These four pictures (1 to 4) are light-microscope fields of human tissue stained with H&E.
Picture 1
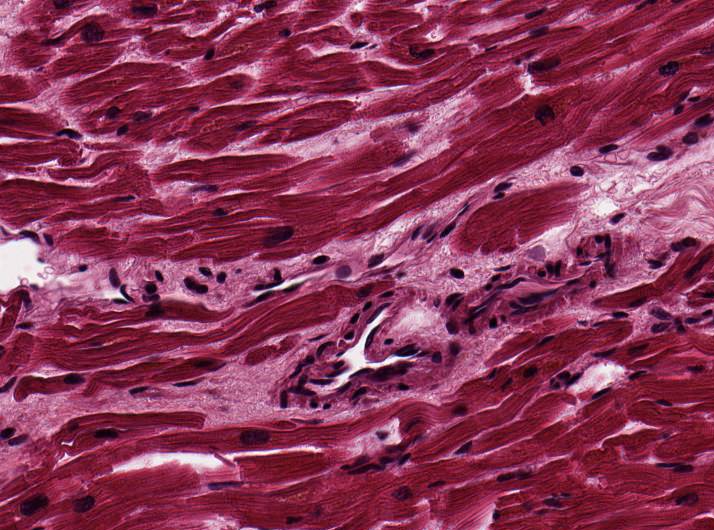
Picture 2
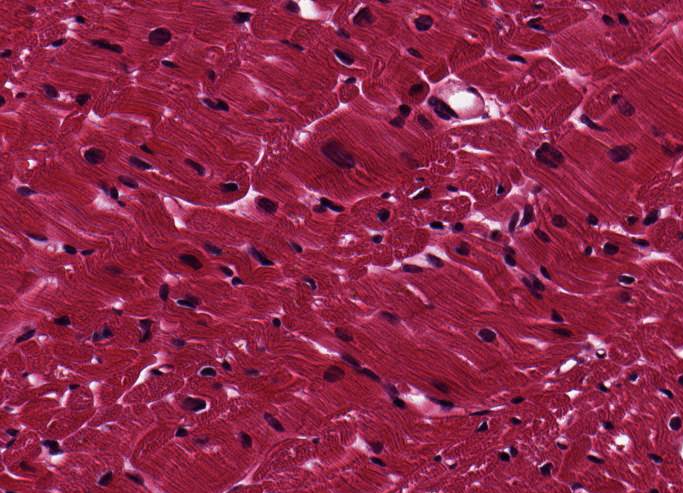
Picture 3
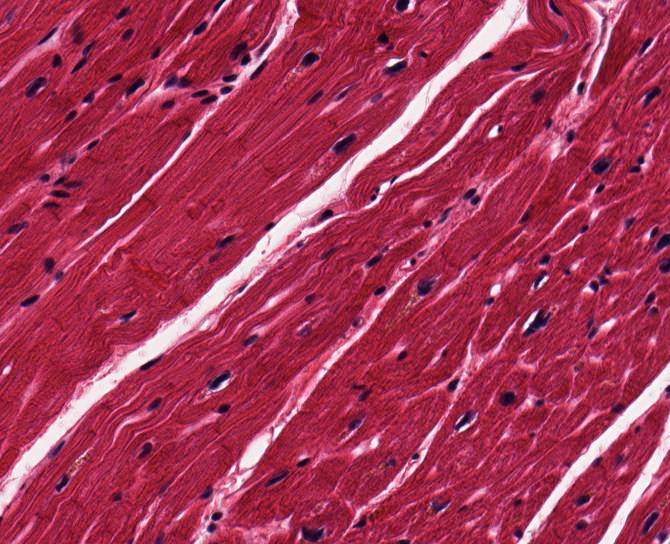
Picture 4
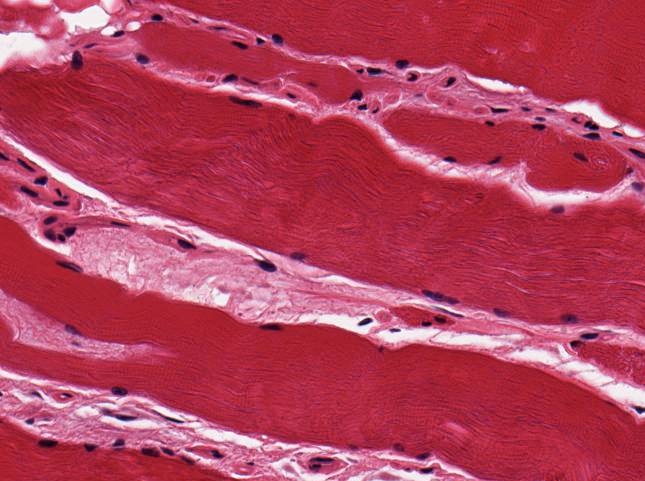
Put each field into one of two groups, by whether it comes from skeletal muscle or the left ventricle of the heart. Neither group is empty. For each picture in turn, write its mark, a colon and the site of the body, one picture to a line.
1: left ventricle of the heart
2: left ventricle of the heart
3: left ventricle of the heart
4: skeletal muscle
